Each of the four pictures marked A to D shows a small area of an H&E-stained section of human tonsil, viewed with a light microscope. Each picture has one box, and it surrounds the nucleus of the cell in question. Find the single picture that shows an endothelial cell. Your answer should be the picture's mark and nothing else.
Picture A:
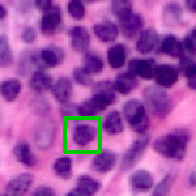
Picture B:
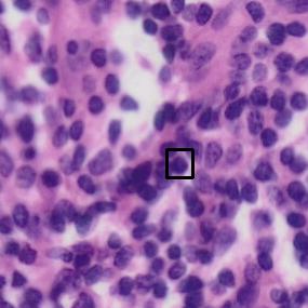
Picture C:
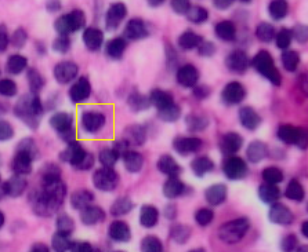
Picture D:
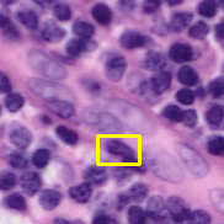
D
